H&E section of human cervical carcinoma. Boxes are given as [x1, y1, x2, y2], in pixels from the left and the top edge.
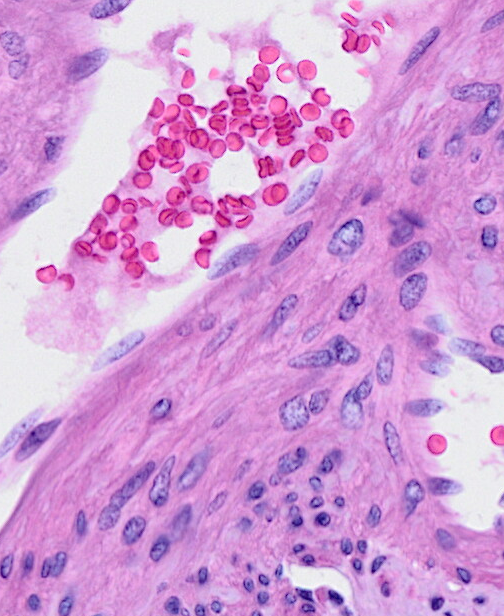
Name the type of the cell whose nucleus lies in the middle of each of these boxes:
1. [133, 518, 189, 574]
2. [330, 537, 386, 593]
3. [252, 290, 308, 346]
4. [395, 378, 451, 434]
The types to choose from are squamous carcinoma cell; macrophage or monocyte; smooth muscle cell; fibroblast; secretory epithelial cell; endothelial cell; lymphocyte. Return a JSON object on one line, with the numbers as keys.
{"1": "smooth muscle cell", "2": "smooth muscle cell", "3": "smooth muscle cell", "4": "endothelial cell"}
